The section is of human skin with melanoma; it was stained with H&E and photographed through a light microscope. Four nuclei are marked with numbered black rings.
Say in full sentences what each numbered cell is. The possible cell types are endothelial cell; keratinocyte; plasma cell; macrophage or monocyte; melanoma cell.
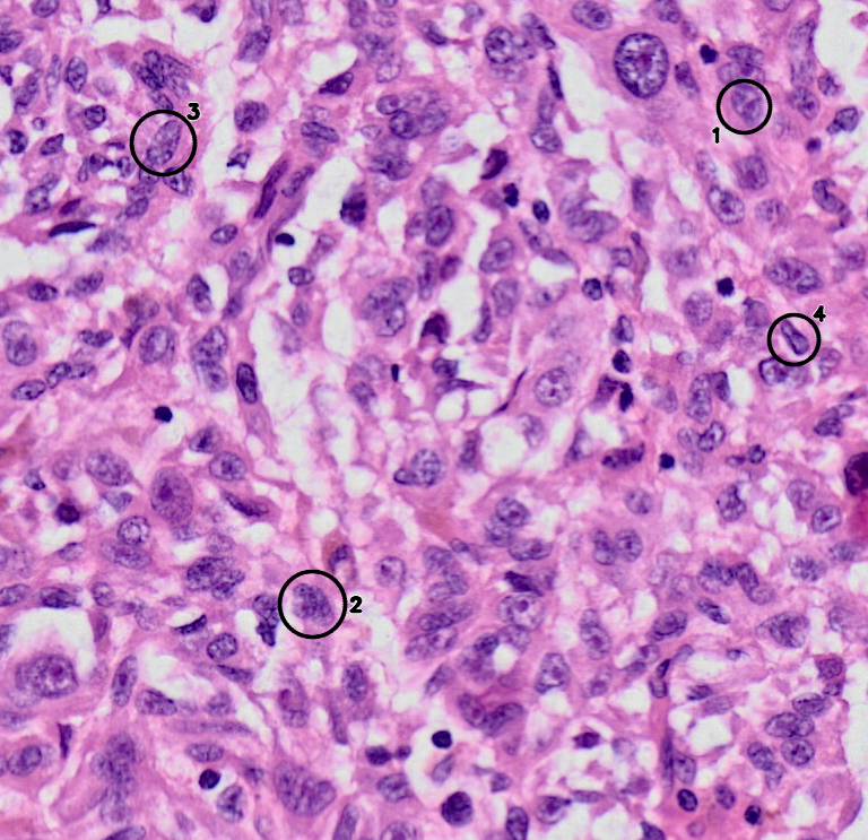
Cells 1, 2 and 3 are melanoma cells. Cell 4 is a macrophage or monocyte.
